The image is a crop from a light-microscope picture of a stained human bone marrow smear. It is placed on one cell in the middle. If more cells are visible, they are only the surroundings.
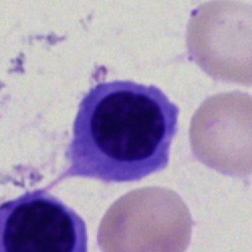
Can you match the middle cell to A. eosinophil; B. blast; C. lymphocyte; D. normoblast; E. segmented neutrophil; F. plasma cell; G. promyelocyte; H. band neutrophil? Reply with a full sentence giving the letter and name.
The middle of the crop holds a normoblast, which points to option D.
